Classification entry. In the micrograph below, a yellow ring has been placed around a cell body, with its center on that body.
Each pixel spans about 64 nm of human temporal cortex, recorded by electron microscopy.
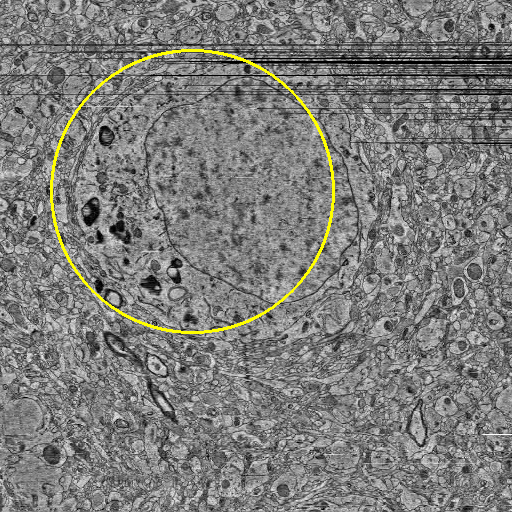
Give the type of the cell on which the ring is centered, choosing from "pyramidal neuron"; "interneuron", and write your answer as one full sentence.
The cell body at the center of the yellow ring belongs to a pyramidal neuron.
